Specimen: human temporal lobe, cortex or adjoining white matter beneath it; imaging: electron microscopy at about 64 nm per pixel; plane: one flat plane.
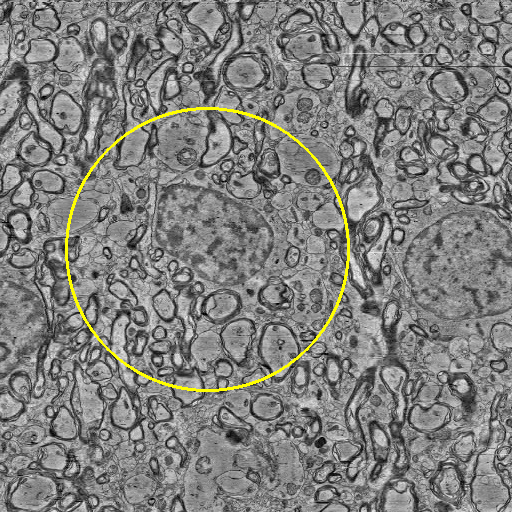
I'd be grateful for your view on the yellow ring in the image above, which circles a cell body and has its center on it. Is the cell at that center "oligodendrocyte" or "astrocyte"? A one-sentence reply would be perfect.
The cell at the center of the yellow ring is an oligodendrocyte.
